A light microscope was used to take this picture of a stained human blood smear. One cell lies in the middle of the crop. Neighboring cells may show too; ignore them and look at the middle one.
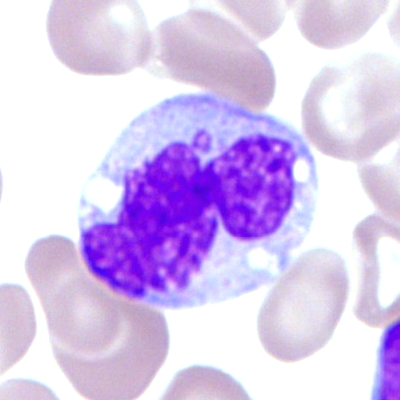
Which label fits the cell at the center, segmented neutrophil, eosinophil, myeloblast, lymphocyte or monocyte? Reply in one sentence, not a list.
The centrally located cell in the crop is a monocyte.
